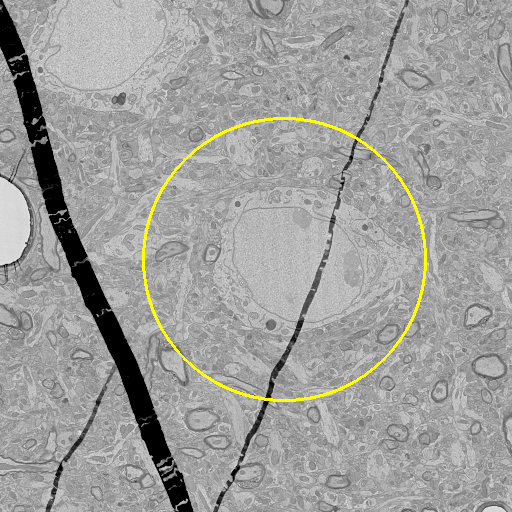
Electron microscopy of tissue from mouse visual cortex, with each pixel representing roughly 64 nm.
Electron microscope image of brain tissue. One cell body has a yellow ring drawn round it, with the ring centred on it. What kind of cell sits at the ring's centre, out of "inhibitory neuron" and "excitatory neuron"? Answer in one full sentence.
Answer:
It is an excitatory neuron whose cell body sits at the centre of the yellow ring.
